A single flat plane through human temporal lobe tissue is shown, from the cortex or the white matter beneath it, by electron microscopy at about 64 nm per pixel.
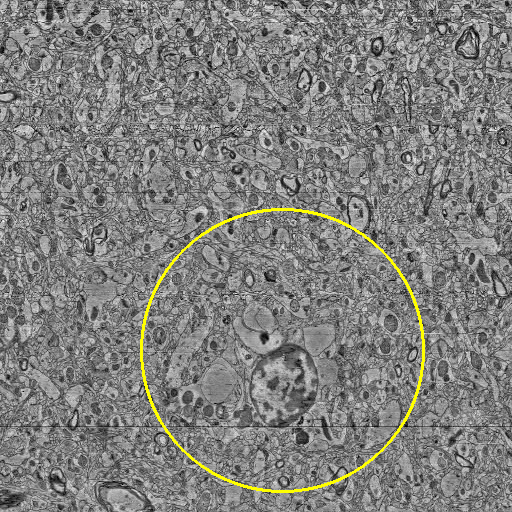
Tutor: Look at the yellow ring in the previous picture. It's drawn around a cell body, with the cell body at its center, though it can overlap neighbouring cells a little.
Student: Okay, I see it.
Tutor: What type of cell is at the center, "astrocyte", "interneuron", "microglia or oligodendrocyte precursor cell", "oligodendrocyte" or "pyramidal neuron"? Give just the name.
microglia or oligodendrocyte precursor cell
